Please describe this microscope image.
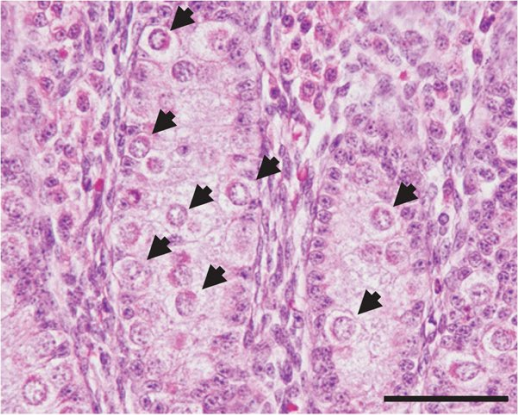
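Scattered in the cords are large, round gonocytes with pale, clear cytoplasm and big round nuclei, set among smaller cells with darker, more crowded nuclei. The cords have no open lumen.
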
